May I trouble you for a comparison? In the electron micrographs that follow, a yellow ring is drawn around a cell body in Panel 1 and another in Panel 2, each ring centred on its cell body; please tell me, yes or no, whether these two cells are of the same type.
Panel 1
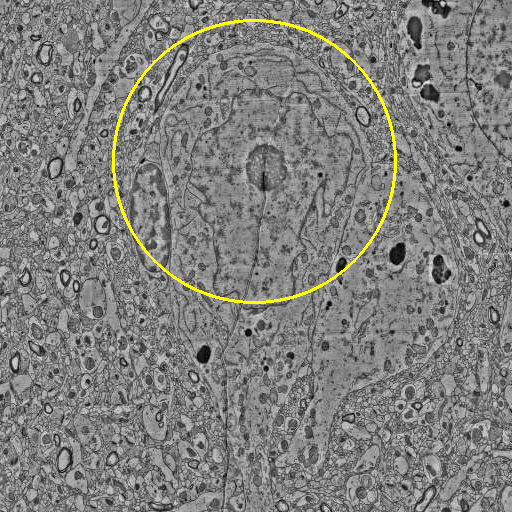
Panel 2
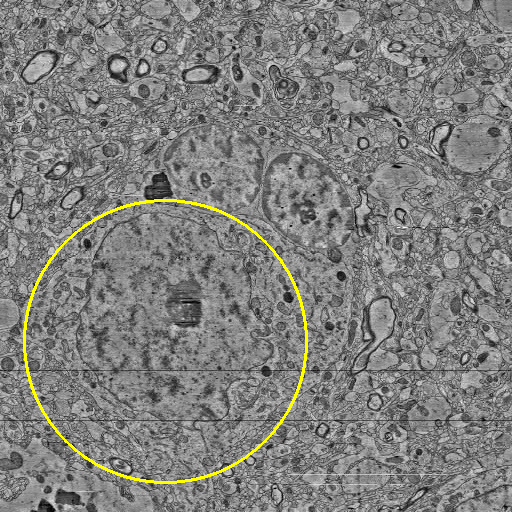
yes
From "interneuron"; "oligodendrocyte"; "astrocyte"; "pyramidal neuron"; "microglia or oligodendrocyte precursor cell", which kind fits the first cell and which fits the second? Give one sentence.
In both pictures the ring is centred on an interneuron.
